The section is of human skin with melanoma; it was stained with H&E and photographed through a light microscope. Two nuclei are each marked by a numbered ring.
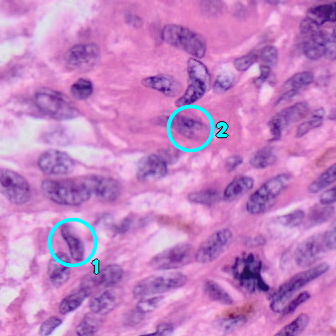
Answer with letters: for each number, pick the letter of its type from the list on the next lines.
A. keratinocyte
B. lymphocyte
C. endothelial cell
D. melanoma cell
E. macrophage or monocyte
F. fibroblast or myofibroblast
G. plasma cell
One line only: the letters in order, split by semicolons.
D; C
